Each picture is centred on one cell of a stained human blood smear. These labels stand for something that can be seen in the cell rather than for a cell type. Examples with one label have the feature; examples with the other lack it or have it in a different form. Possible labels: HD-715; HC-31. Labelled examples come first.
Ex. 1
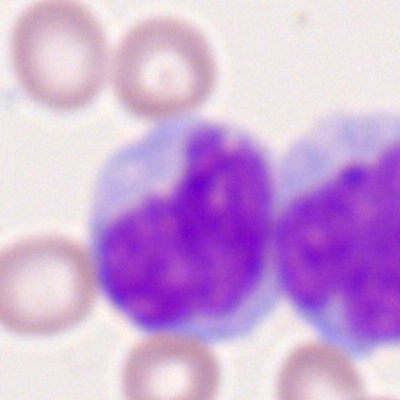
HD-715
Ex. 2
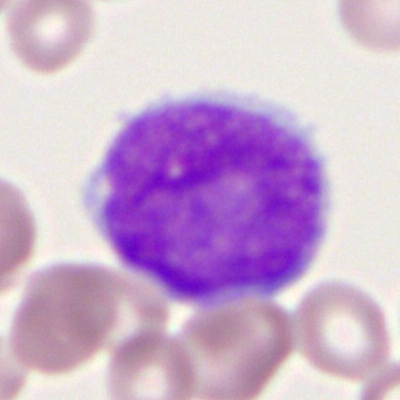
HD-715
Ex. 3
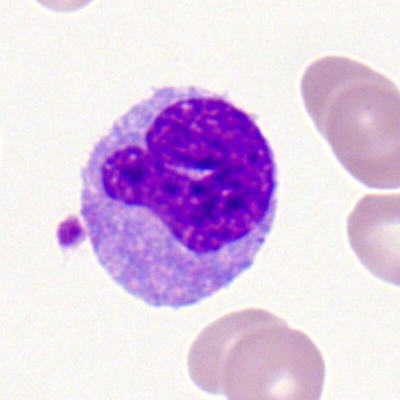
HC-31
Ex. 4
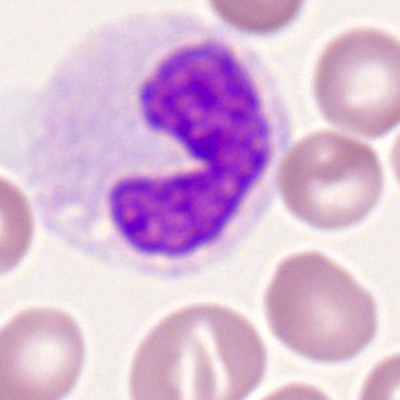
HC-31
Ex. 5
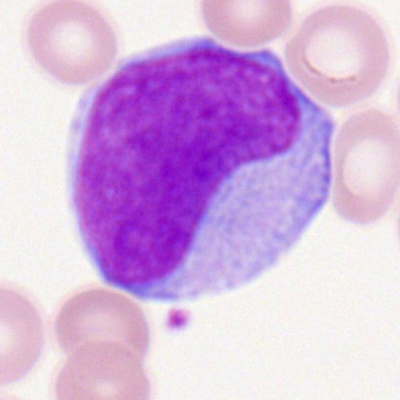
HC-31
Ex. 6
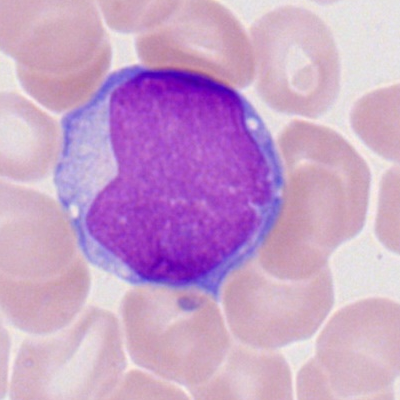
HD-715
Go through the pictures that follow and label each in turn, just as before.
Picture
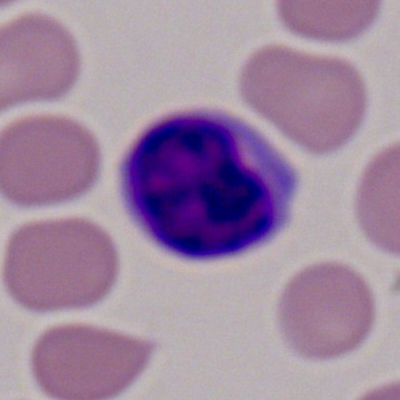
HD-715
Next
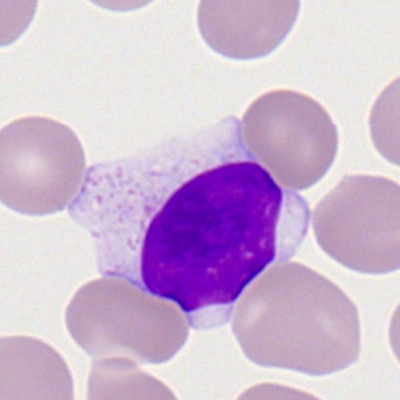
HC-31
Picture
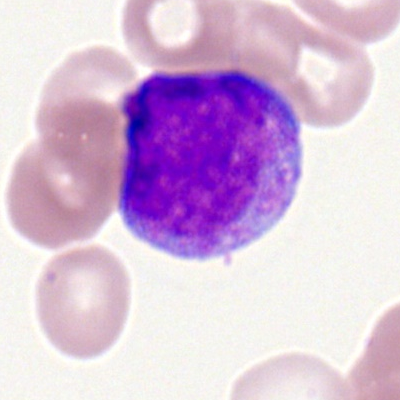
HD-715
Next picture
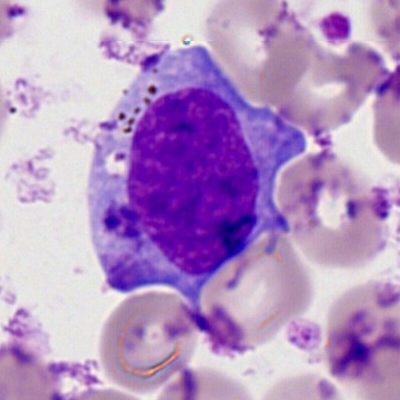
HC-31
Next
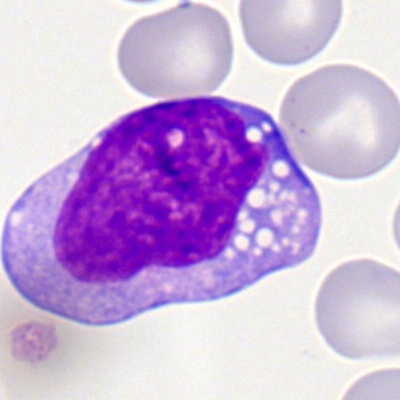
HC-31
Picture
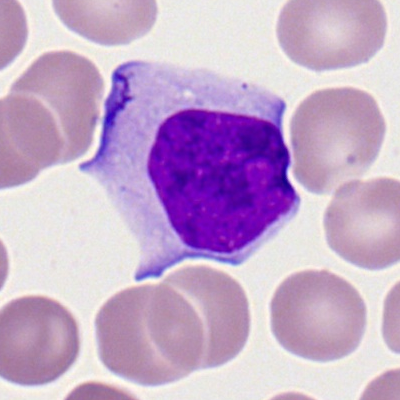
HC-31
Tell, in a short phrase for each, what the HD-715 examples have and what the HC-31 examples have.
In HD-715: scant cytoplasm. In HC-31: abundant cytoplasm.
